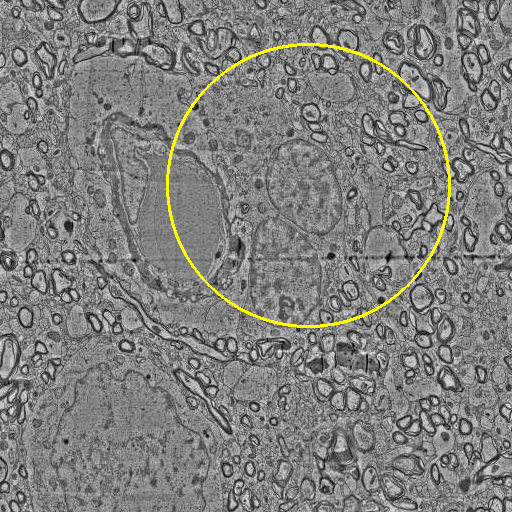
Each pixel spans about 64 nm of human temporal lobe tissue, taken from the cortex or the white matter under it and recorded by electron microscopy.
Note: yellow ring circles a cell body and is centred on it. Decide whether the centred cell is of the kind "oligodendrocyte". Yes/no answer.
Yes, the centred cell is of that kind.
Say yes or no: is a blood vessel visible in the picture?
Yes, the picture includes a blood vessel.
